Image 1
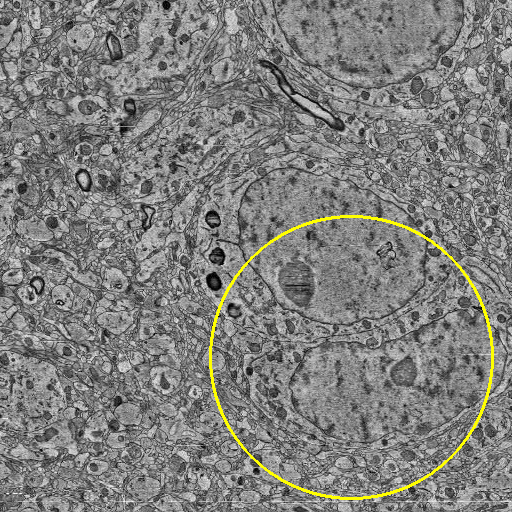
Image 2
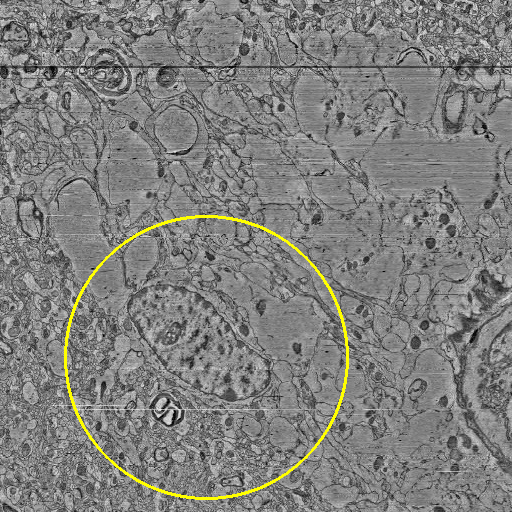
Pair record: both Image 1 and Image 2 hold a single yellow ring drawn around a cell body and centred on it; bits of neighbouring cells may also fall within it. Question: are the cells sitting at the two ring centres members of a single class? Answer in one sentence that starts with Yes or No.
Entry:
No, the ring-centre cells in Image 1 and Image 2 come from two classes.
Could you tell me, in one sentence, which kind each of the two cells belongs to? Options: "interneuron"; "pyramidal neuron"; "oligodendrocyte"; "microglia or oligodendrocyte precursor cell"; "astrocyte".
At the centre of the first ring sits an interneuron, and at the centre of the second sits a microglial cell or oligodendrocyte precursor cell.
